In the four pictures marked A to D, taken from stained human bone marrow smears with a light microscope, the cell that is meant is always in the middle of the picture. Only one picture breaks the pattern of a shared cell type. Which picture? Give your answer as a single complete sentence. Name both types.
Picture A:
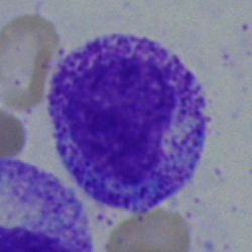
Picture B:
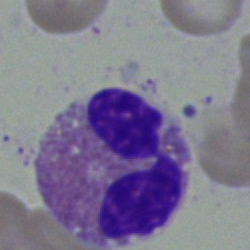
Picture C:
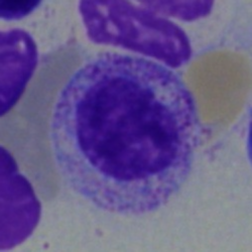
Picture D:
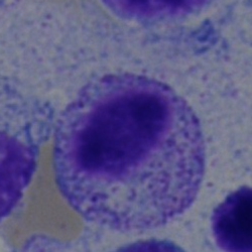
Unlike the rest, which show myelocytes, picture B shows an eosinophil.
